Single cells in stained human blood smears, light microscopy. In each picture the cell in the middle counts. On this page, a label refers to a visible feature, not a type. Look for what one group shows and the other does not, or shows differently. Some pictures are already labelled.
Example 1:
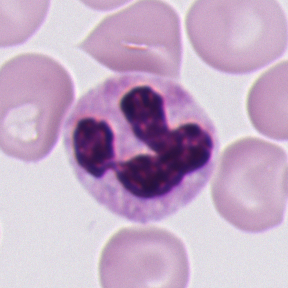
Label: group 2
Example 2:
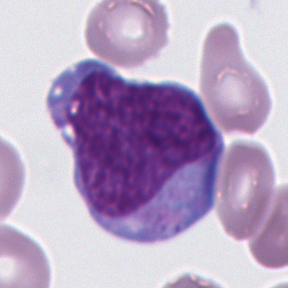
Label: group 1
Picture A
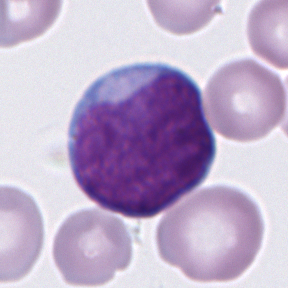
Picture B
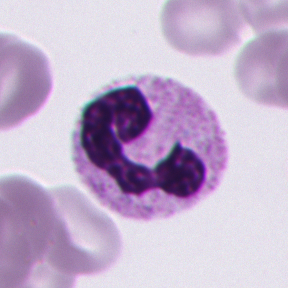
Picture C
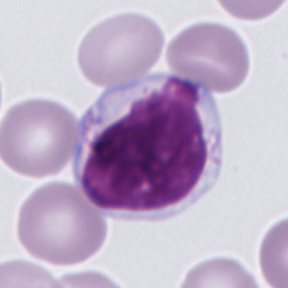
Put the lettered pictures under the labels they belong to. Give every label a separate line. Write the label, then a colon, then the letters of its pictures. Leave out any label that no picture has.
group 2: A, B, C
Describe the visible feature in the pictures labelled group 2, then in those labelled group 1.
group 2: smooth outline; group 1: ragged outline or projections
